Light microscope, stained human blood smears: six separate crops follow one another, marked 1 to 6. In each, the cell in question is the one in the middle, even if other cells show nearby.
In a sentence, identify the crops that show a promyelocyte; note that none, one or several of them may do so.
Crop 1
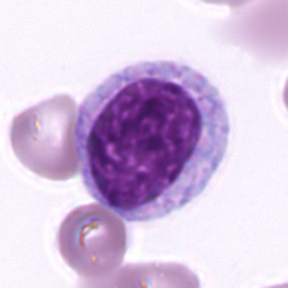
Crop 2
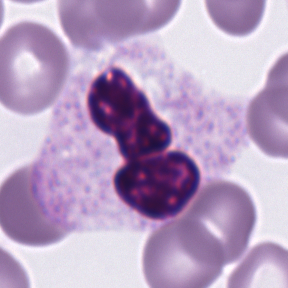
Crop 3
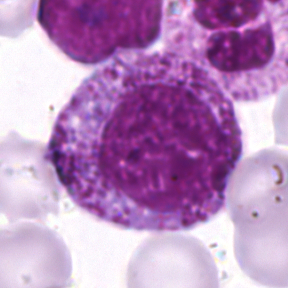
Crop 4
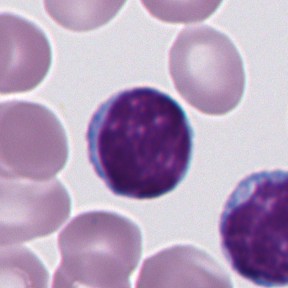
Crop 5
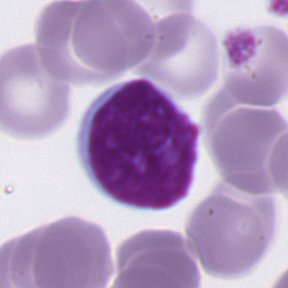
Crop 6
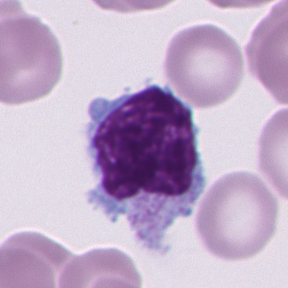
Each of the crops, without exception, lacks a promyelocyte.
